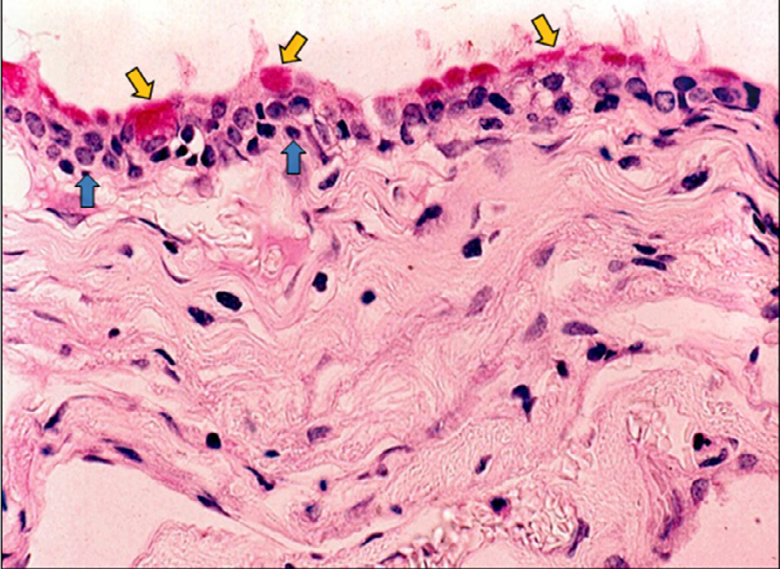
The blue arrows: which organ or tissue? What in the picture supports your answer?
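An epithelial layer lines the surface over fibrous stroma. Crowded nuclei lie at staggered levels within the layer. Fine projections extend from the luminal surface.
Conclusion: pseudostratified ciliated epithelium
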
